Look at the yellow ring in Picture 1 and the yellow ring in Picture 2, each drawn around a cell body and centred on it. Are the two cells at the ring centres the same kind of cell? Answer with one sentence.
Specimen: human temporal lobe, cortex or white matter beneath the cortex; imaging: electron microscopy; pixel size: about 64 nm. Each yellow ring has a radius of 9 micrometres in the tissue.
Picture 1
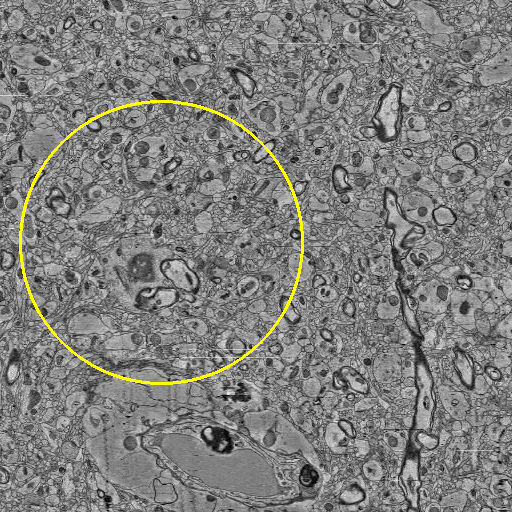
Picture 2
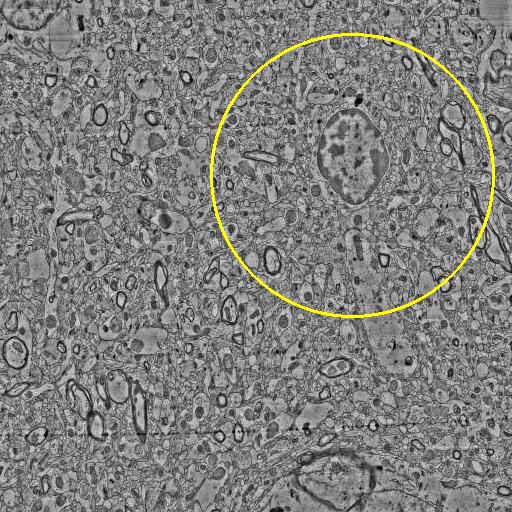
No, they are cells of two kinds.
